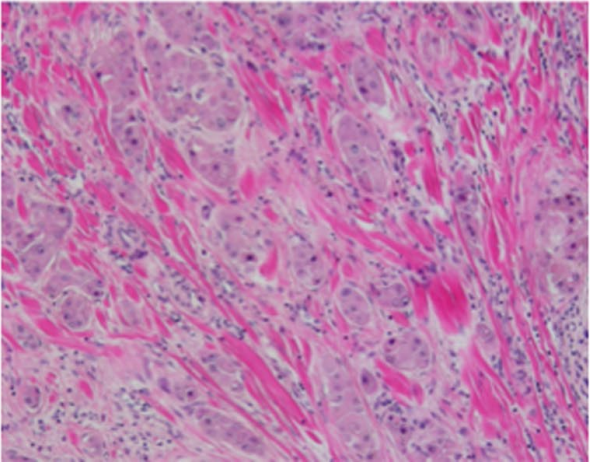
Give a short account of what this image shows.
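Tumor tissue in which nests and cords of large pale pink tumor cells are separated by thick, bright pink parallel bands of collagen fibers. Small dark nuclei of scattered stromal cells lie among the fibers between the cords.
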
